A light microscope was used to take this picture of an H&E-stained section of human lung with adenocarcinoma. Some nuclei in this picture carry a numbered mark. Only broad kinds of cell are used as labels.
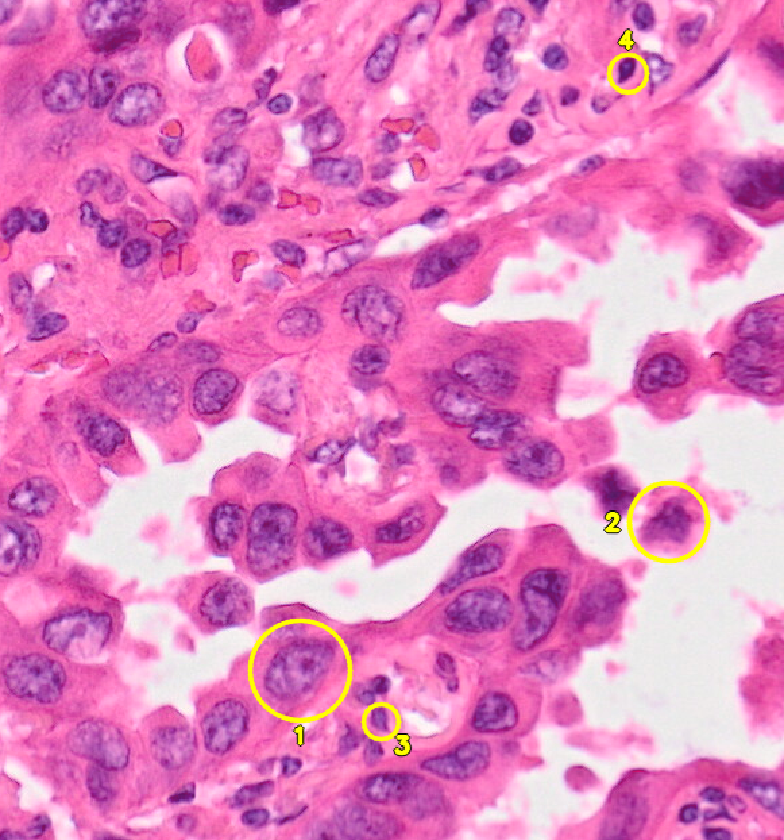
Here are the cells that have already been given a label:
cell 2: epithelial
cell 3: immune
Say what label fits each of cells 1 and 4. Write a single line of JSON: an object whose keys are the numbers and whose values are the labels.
{"1": "epithelial", "4": "immune"}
